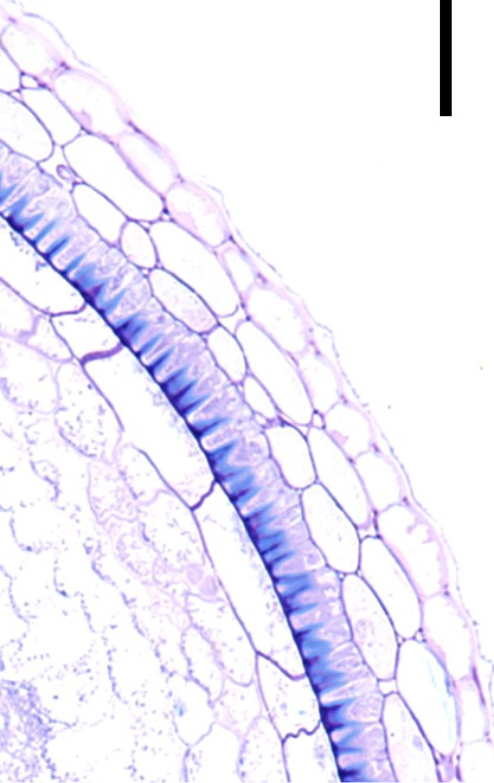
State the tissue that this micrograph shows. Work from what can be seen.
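Seed coat. A curved multilayered band of cells forms the outer covering of the section. Several outer rows of thin-walled cells overlie a continuous deep blue band of columnar cells.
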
